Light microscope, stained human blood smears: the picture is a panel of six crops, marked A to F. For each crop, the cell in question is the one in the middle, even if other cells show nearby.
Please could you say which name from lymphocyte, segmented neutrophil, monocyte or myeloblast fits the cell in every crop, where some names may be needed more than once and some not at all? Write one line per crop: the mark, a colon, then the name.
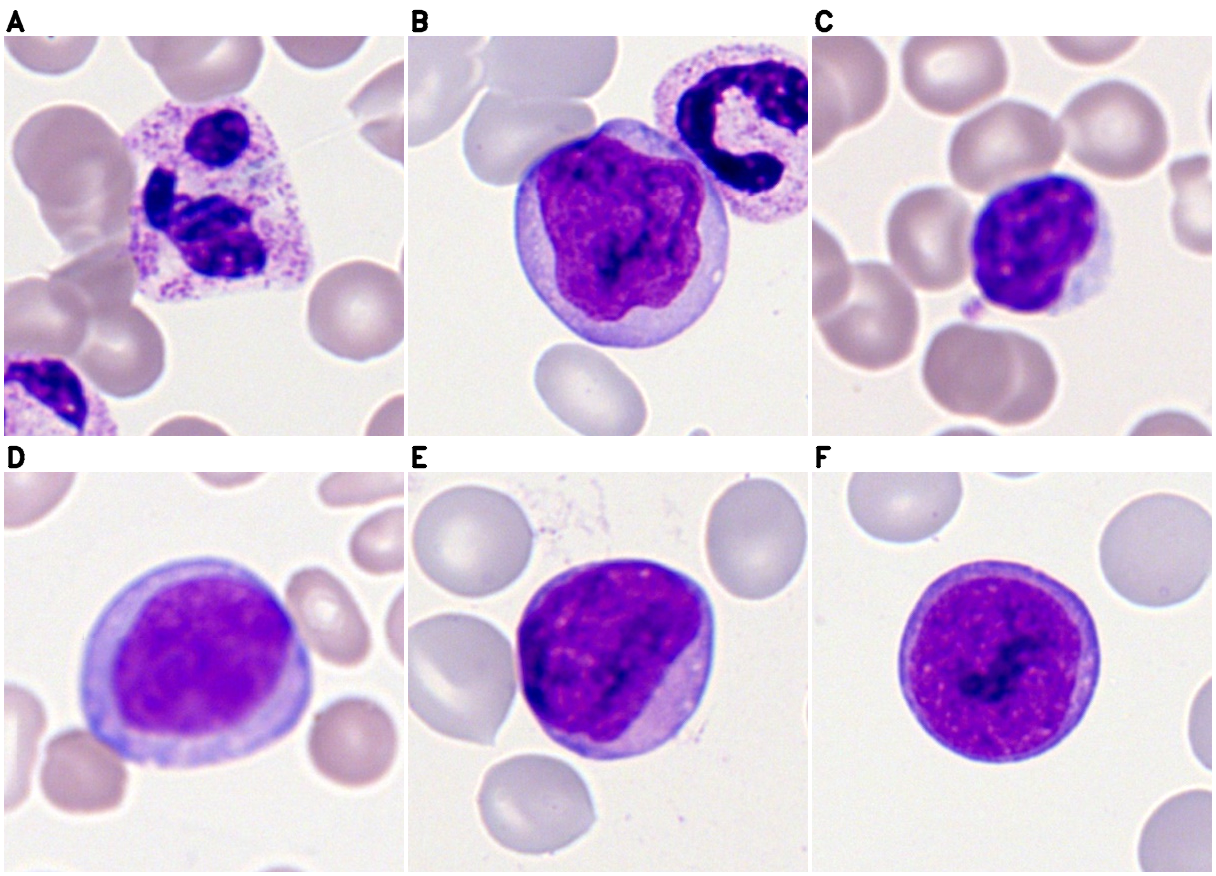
A: segmented neutrophil
B: myeloblast
C: lymphocyte
D: myeloblast
E: myeloblast
F: myeloblast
